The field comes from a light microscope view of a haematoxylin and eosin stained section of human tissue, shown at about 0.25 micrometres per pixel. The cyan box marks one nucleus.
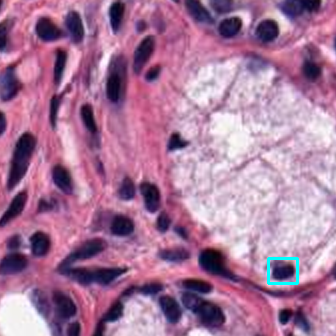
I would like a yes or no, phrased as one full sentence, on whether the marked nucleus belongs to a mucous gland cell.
Yes, the marked nucleus is found within a mucous gland cell.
